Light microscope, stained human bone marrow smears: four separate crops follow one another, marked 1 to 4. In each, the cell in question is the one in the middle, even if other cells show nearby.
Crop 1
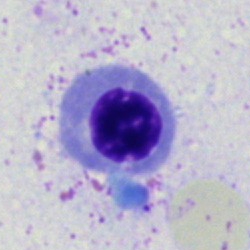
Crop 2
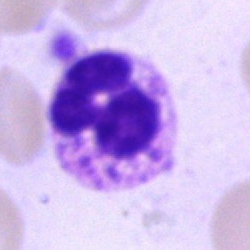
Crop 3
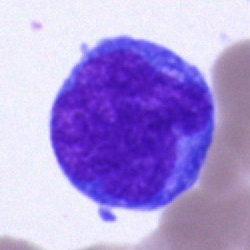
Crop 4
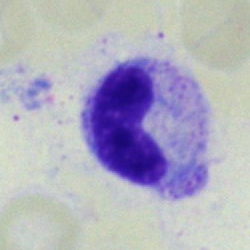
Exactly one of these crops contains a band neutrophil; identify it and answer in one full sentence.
Crop 4 is the single crop that shows a band neutrophil.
